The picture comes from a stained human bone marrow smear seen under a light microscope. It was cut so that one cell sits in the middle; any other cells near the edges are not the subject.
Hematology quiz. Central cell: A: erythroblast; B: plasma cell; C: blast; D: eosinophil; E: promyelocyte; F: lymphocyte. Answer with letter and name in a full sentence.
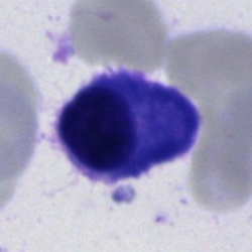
Option B gets it right: the cell in the middle is a plasma cell.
